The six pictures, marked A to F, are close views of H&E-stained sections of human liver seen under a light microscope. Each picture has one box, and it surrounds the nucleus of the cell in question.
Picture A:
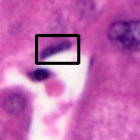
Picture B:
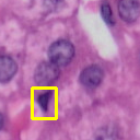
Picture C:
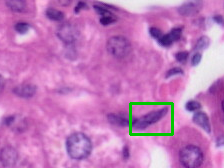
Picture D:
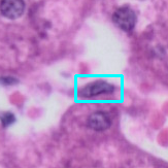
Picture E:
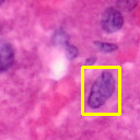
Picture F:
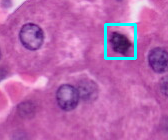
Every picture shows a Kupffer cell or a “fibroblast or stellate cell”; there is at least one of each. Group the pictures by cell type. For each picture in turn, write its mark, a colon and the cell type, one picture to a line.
A: fibroblast or stellate cell
B: fibroblast or stellate cell
C: fibroblast or stellate cell
D: Kupffer cell
E: Kupffer cell
F: fibroblast or stellate cell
